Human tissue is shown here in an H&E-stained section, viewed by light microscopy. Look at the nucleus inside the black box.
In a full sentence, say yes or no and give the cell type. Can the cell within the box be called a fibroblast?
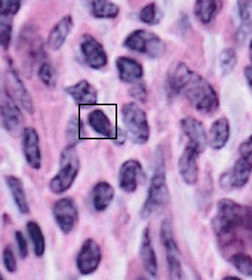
No, judged by cell type, the cell within the box is a lymphocyte, not a fibroblast.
